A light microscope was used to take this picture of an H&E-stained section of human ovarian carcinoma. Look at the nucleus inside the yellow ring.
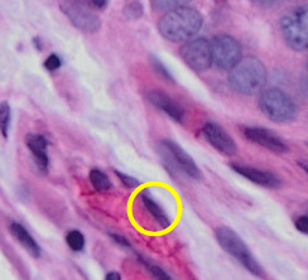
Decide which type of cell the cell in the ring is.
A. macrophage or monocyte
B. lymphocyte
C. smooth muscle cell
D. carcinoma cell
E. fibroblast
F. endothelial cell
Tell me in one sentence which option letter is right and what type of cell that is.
Answer with option F; the cell in the ring is an endothelial cell.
